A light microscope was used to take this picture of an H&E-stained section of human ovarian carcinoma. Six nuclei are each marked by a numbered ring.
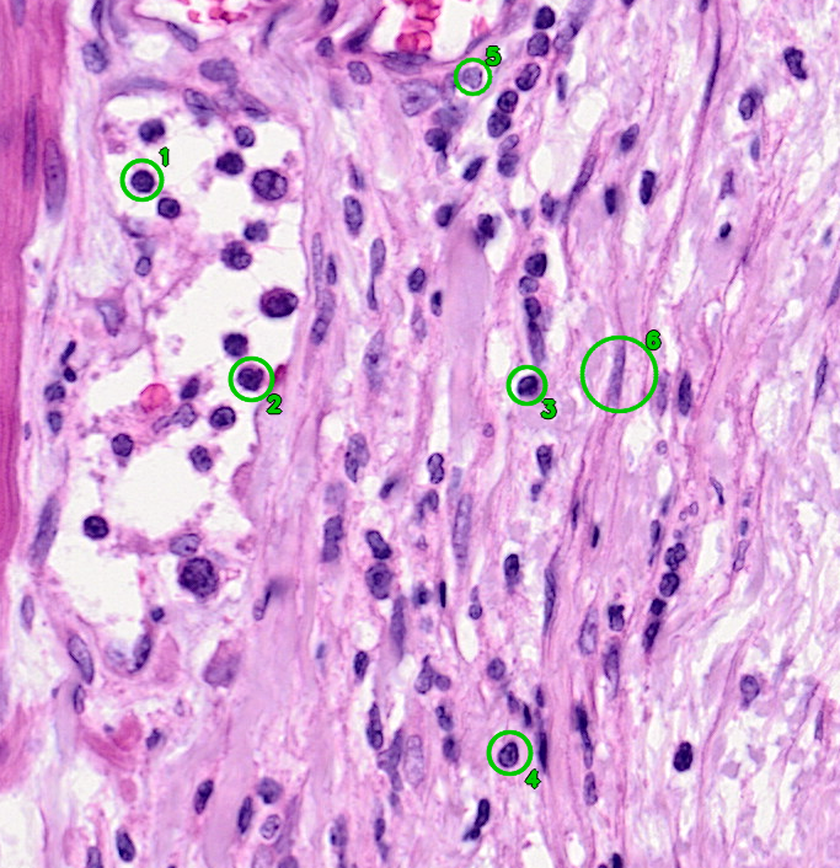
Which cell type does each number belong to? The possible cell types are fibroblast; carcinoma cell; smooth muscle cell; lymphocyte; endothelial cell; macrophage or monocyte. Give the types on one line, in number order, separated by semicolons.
lymphocyte; lymphocyte; lymphocyte; lymphocyte; macrophage or monocyte; fibroblast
